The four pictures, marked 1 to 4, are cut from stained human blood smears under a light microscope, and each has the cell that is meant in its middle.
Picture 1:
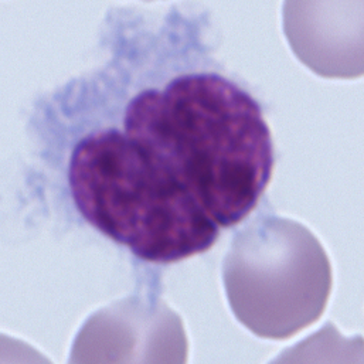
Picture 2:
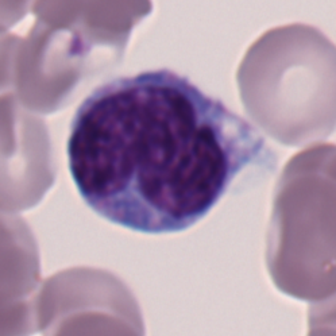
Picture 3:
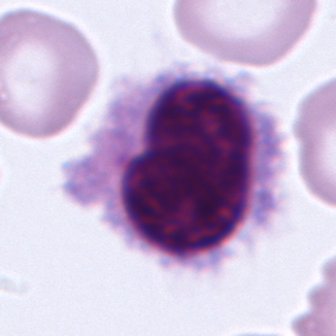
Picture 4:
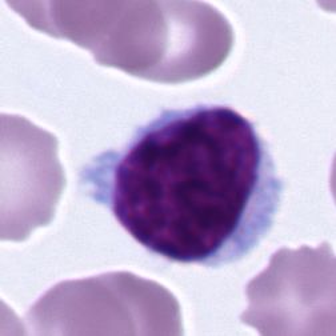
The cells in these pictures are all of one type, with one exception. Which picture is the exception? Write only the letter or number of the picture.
2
